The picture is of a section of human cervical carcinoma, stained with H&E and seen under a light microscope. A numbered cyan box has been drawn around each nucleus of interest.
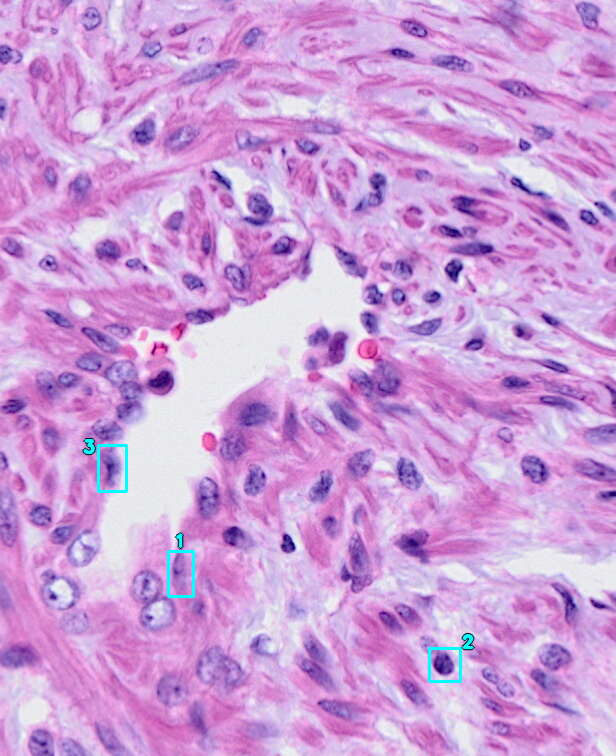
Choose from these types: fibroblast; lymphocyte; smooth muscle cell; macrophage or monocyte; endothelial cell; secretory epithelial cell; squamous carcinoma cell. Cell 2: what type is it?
lymphocyte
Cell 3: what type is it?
endothelial cell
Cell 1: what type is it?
endothelial cell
